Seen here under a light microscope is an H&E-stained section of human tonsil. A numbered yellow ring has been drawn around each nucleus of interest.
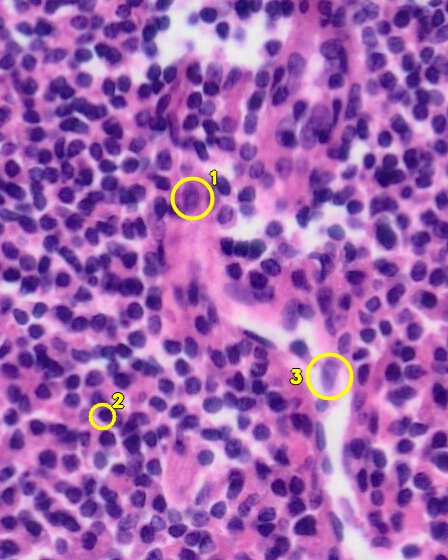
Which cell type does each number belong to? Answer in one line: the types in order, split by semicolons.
endothelial cell; small lymphocyte; endothelial cell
